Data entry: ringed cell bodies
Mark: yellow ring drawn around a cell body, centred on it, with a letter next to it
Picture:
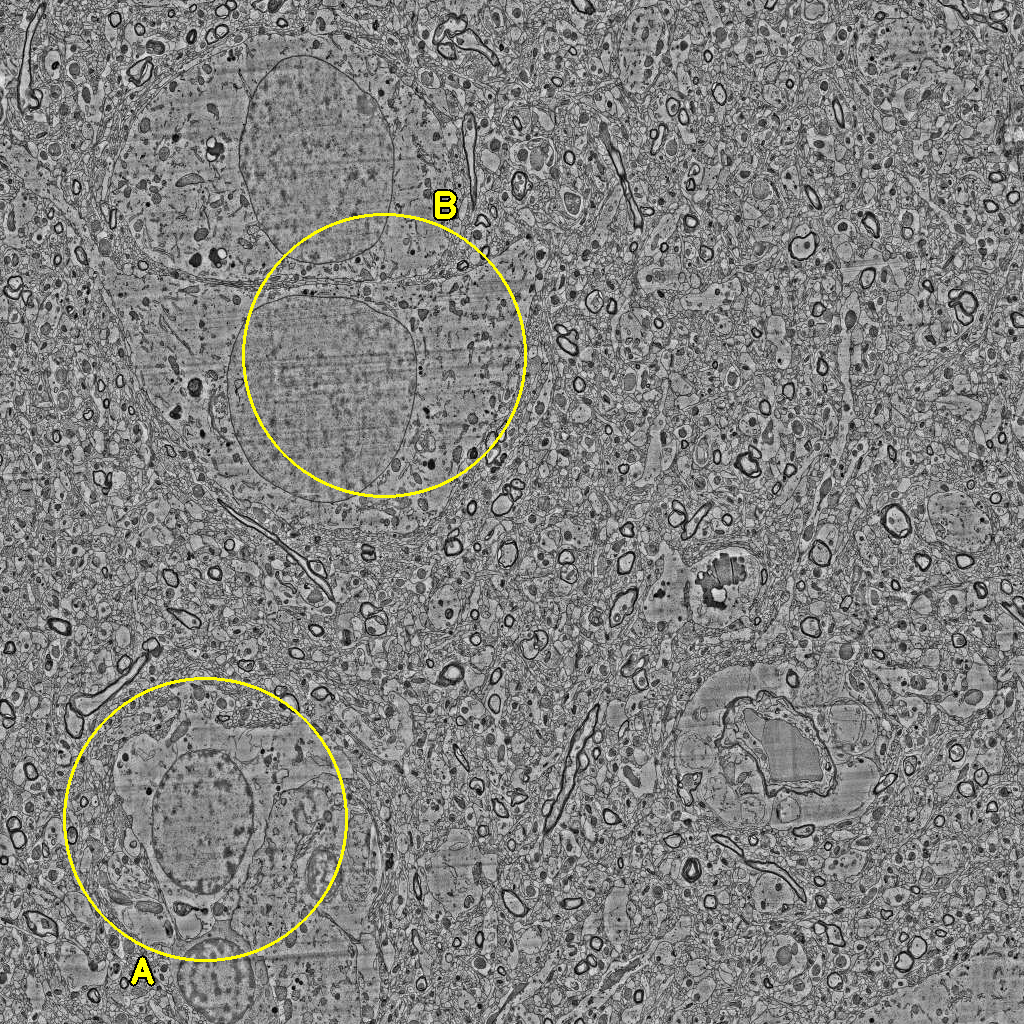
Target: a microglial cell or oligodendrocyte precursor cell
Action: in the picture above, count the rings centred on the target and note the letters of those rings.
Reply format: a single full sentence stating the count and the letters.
No yellow ring takes a microglial cell or oligodendrocyte precursor cell as its centre, and the count is zero as a result.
